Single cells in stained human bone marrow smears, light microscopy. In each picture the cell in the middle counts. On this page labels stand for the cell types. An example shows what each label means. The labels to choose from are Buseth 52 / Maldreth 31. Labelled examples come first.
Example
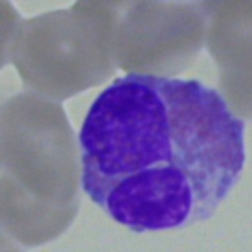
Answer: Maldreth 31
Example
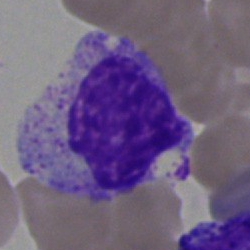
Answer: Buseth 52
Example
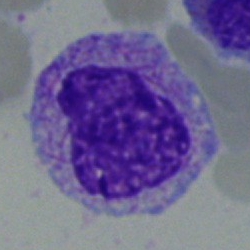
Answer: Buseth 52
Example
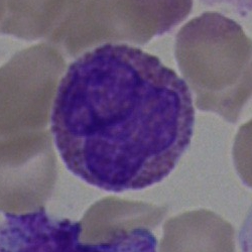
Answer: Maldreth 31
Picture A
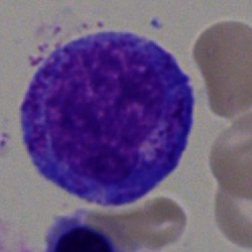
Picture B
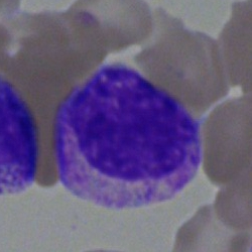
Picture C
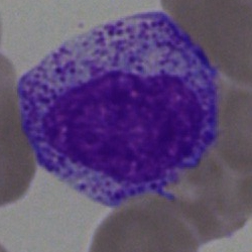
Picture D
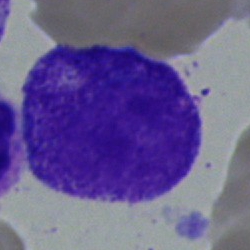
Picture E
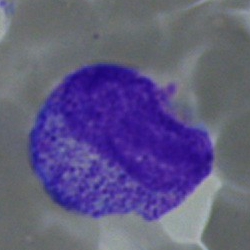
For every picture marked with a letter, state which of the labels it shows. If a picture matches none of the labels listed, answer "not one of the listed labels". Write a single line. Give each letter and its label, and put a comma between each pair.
A not one of the listed labels, B Buseth 52, C not one of the listed labels, D not one of the listed labels, E Buseth 52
